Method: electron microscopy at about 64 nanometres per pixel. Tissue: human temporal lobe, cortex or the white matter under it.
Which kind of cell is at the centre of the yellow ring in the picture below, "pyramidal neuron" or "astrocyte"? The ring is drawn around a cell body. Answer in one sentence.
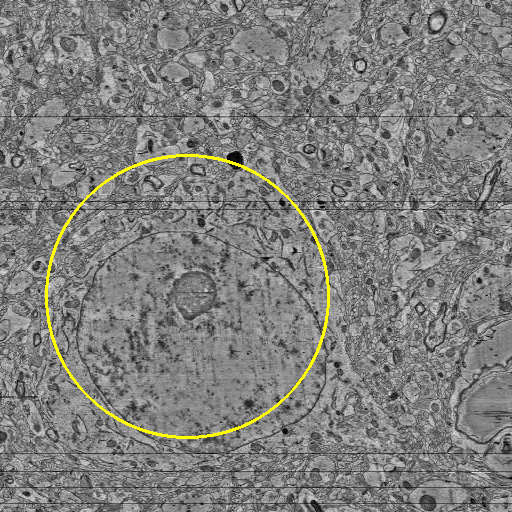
The ring's central cell is a pyramidal neuron.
